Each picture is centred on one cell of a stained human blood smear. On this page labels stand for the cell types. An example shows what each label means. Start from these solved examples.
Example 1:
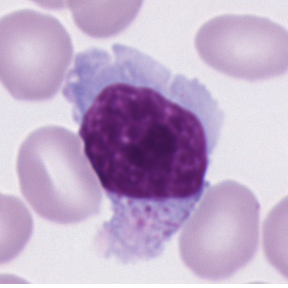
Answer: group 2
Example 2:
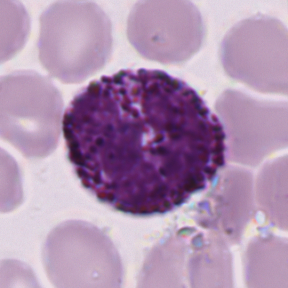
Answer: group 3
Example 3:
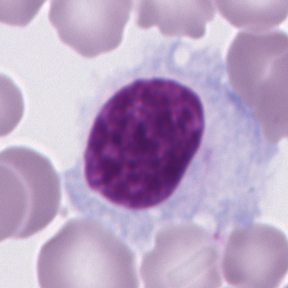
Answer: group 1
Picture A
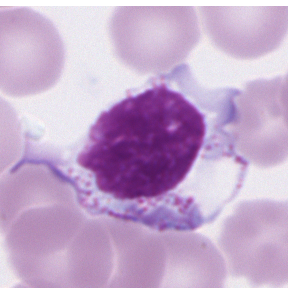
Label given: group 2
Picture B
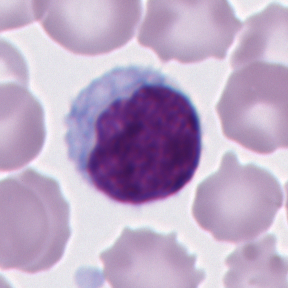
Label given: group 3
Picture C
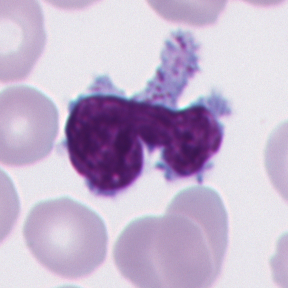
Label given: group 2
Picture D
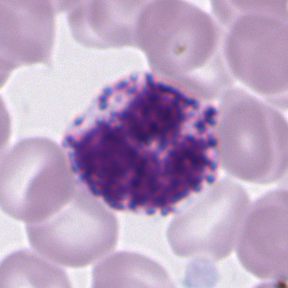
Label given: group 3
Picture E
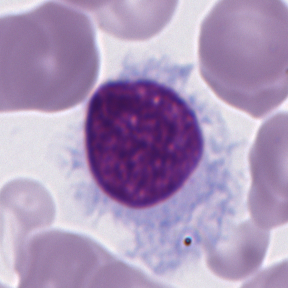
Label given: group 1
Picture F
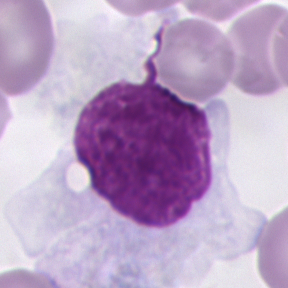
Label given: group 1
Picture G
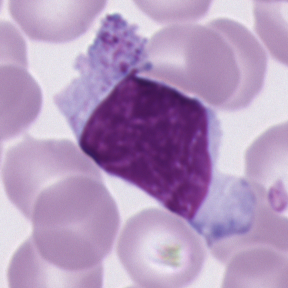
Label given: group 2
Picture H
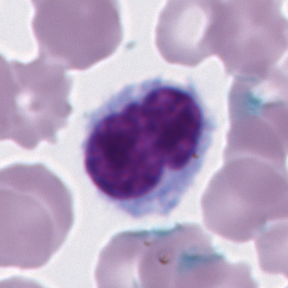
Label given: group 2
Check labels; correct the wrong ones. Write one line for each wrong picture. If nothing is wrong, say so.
B: not group 3 but group 1
H: not group 2 but group 1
